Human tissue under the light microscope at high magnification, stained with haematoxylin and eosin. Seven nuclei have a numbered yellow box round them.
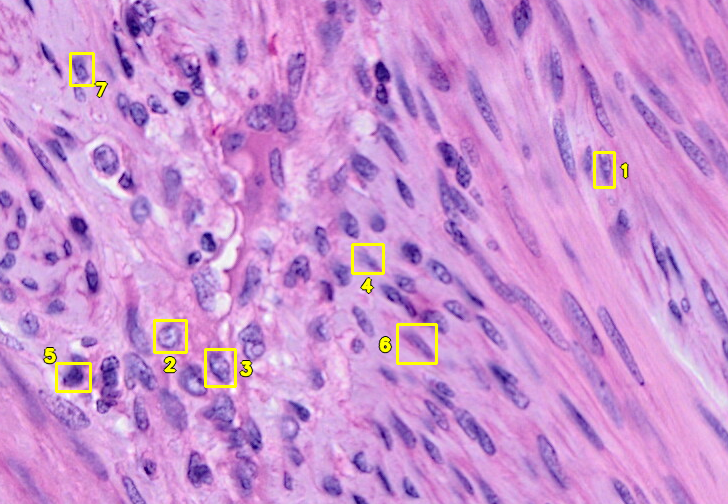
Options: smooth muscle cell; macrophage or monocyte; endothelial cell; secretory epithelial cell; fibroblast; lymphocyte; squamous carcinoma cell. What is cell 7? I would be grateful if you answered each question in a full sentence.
The cell with the number 7 is a fibroblast.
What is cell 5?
The cell numbered 5 has been identified as a lymphocyte.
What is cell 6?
Here the cell numbered 6 is a smooth muscle cell.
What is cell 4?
Identified by the number 4, the cell is a fibroblast.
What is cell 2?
In this section, the cell tagged 2 is a smooth muscle cell.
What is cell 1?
The one labeled 1 is a smooth muscle cell, to put it simply.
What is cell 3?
What the number 3 marks in this field is an endothelial cell.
